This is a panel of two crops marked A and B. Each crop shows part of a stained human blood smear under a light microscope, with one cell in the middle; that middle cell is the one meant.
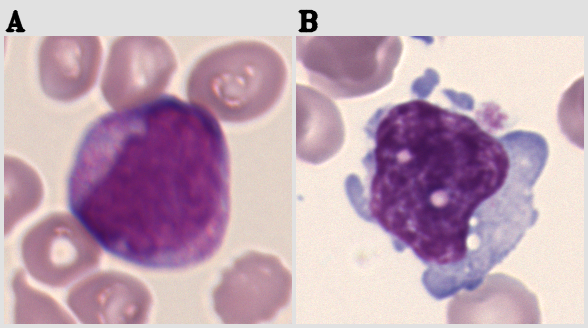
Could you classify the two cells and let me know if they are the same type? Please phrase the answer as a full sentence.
No, an atypical promyelocyte occupies the middle of crop A, and a myeloblast the middle of crop B.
